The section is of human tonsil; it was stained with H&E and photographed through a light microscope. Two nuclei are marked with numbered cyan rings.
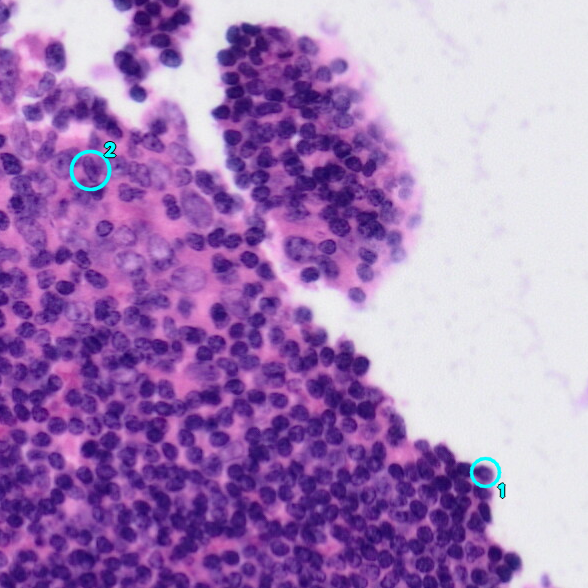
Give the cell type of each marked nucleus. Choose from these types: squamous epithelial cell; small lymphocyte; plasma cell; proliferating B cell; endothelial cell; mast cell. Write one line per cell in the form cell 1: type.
cell 1: small lymphocyte
cell 2: proliferating B cell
